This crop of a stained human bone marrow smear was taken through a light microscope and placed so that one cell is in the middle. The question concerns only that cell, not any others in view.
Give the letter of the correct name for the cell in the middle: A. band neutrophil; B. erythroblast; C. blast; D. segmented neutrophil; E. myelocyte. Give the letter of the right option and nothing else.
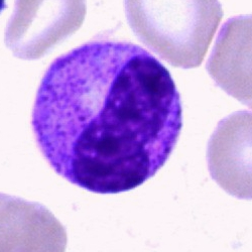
A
